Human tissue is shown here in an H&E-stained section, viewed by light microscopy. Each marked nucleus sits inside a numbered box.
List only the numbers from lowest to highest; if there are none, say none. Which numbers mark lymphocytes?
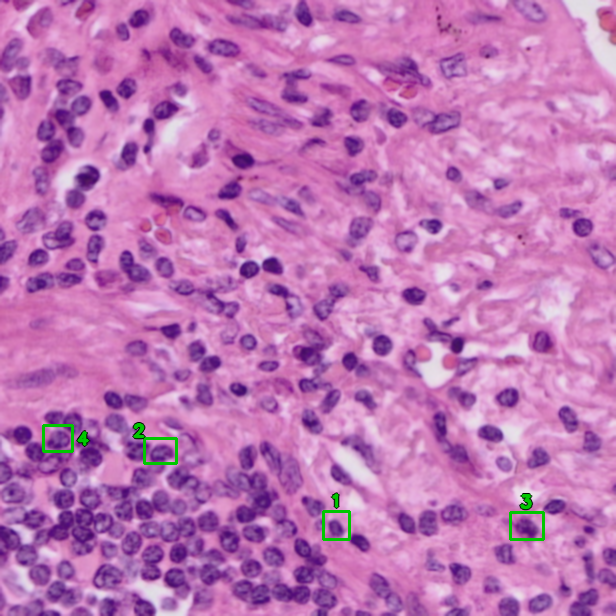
1, 2, 4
